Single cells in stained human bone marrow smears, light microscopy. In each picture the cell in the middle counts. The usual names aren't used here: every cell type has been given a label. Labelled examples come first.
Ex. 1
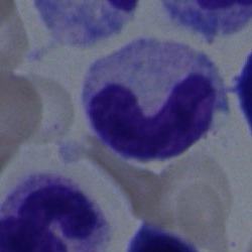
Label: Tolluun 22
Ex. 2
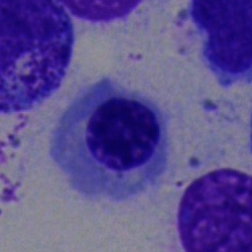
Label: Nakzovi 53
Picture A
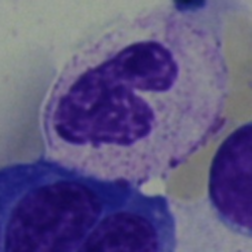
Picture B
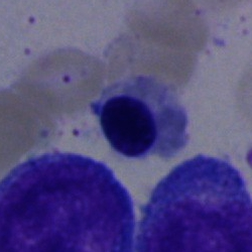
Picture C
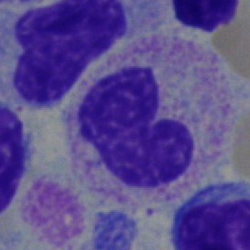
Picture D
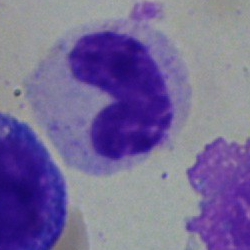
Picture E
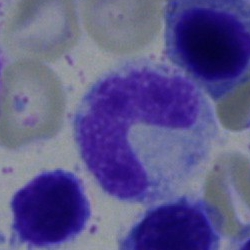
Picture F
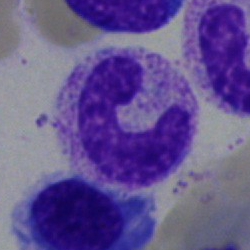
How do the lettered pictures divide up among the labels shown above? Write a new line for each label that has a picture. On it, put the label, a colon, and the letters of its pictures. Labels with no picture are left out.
Tolluun 22: A, C, D, E, F
Nakzovi 53: B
